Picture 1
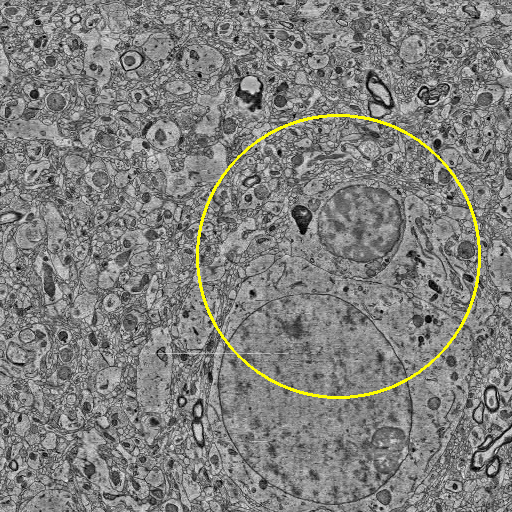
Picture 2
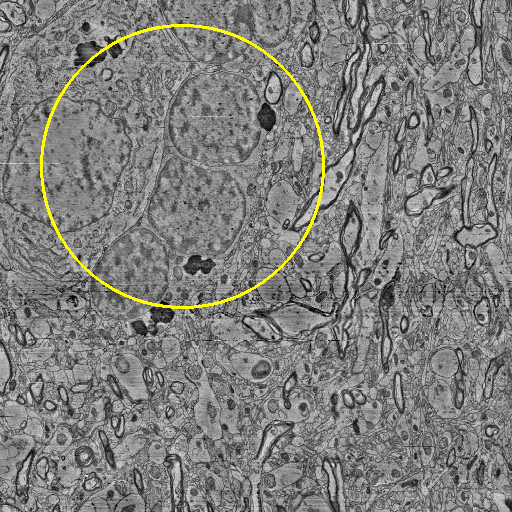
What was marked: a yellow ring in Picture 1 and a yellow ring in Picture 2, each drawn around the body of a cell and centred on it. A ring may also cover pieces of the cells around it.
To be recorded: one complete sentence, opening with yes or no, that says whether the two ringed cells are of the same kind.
Yes, the two ringed cells are of the same kind.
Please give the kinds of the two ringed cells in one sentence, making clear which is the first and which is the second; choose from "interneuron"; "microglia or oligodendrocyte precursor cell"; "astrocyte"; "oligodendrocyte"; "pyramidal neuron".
Each of the two pictures has an oligodendrocyte at the ring centre.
